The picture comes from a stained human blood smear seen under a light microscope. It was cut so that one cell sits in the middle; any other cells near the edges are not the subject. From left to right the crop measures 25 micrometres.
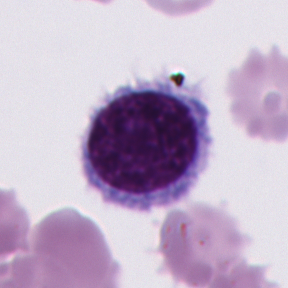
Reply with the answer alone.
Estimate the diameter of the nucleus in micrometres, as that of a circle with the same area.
9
